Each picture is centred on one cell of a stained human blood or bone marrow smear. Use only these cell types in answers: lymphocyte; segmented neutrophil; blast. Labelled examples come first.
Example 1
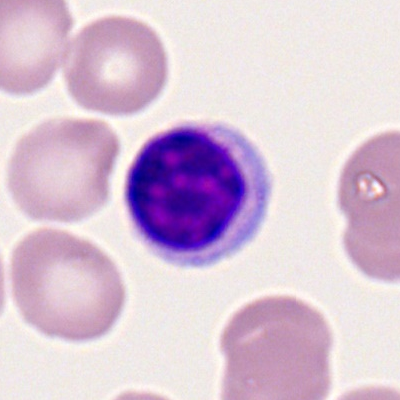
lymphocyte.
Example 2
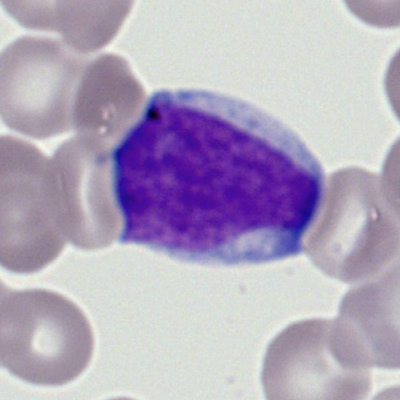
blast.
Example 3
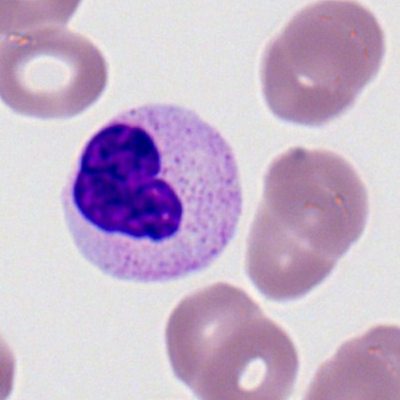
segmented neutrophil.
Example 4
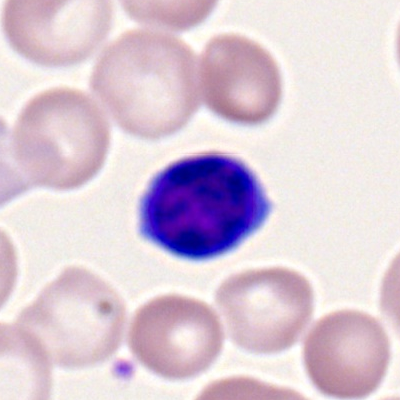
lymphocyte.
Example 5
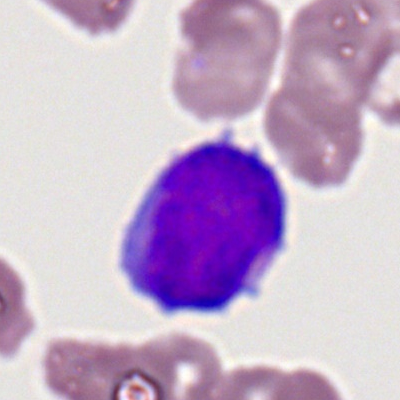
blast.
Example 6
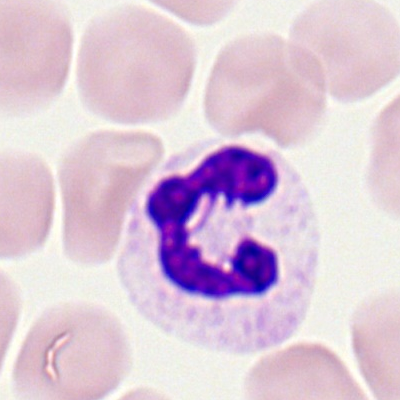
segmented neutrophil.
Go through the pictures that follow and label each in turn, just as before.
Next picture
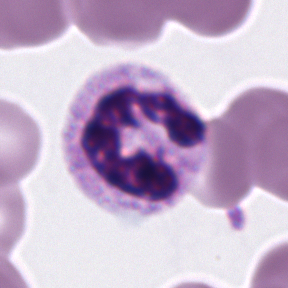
segmented neutrophil.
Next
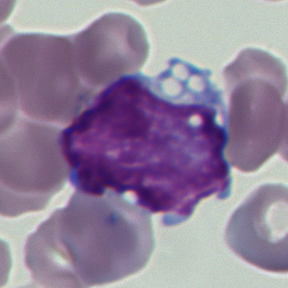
blast.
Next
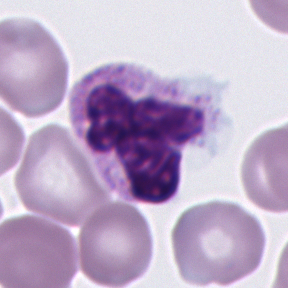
segmented neutrophil.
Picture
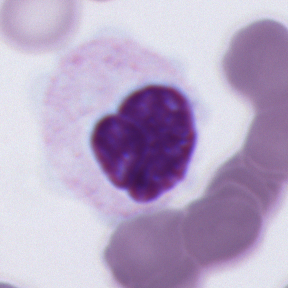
segmented neutrophil.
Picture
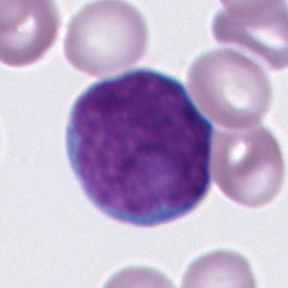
blast.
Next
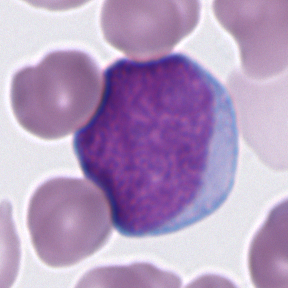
blast.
